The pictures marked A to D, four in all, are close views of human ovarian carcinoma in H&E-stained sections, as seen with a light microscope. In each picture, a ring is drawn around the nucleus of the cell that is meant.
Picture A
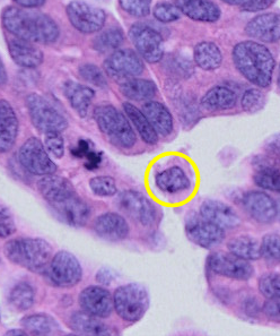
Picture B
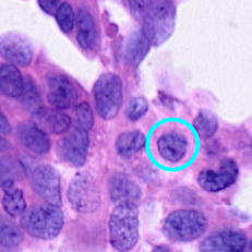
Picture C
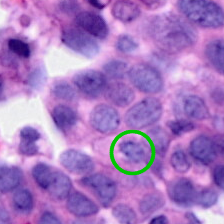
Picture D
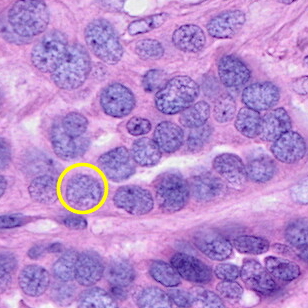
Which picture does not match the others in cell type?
D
